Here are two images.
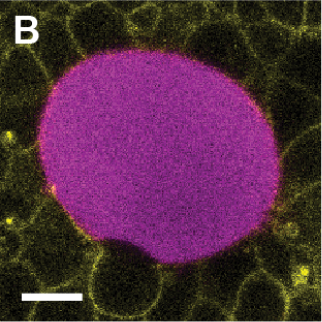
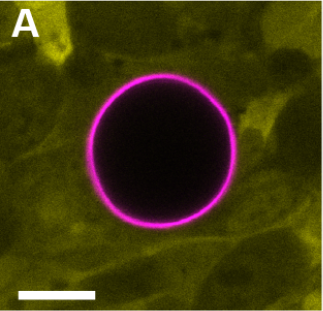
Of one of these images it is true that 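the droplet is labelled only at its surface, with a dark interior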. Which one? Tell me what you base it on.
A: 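The second image. First image: the magenta fills the whole body of the droplet evenly. Second image: the magenta forms a thin ring around the droplet and the inside is dark.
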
